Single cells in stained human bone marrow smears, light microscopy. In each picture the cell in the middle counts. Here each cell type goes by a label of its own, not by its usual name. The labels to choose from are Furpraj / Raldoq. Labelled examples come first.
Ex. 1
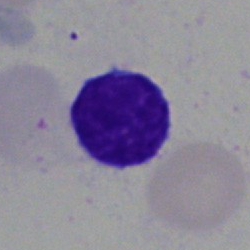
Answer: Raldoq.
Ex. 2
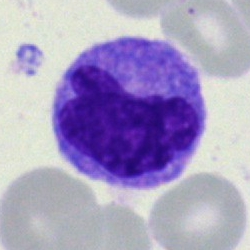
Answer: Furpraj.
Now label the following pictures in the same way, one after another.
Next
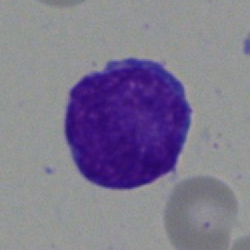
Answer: Raldoq.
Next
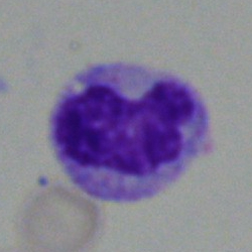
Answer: Furpraj.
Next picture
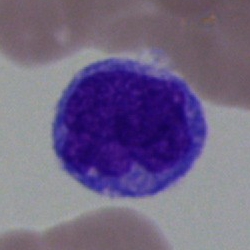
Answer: Furpraj.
